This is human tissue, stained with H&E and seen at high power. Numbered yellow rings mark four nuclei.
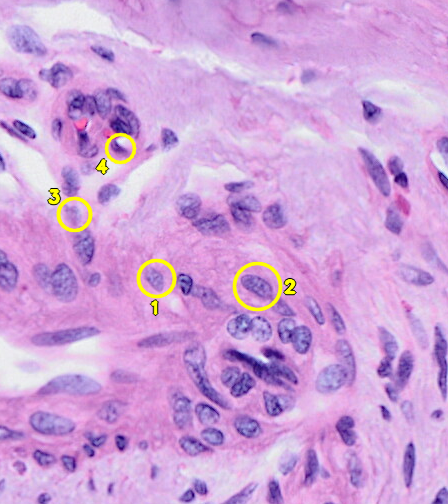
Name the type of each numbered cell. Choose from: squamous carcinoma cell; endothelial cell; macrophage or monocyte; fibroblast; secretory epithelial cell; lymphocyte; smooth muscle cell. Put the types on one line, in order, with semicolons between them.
smooth muscle cell; smooth muscle cell; smooth muscle cell; endothelial cell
